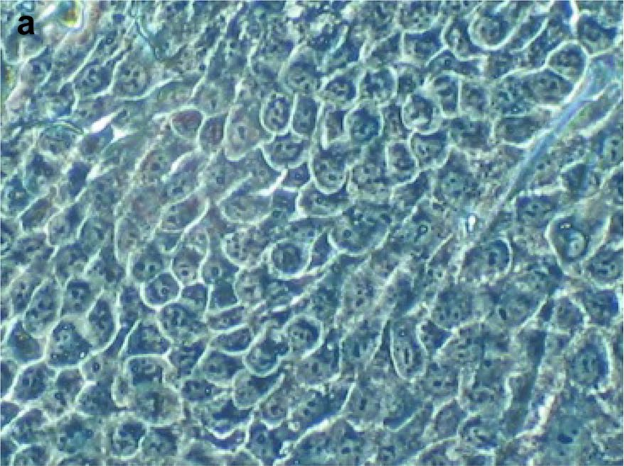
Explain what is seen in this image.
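The cells are polygonal and packed edge to edge in a cobblestone pattern, each outlined by a bright phase-contrast border. Each cell holds a single round to oval nucleus, roughly central, containing one or more dark nucleoli, surrounded by a rim of granular cytoplasm. Cells are of fairly even size, and there are no gaps or cell-free spaces anywhere in the field; a few faint streaks cross the sheet but do not interrupt it.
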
